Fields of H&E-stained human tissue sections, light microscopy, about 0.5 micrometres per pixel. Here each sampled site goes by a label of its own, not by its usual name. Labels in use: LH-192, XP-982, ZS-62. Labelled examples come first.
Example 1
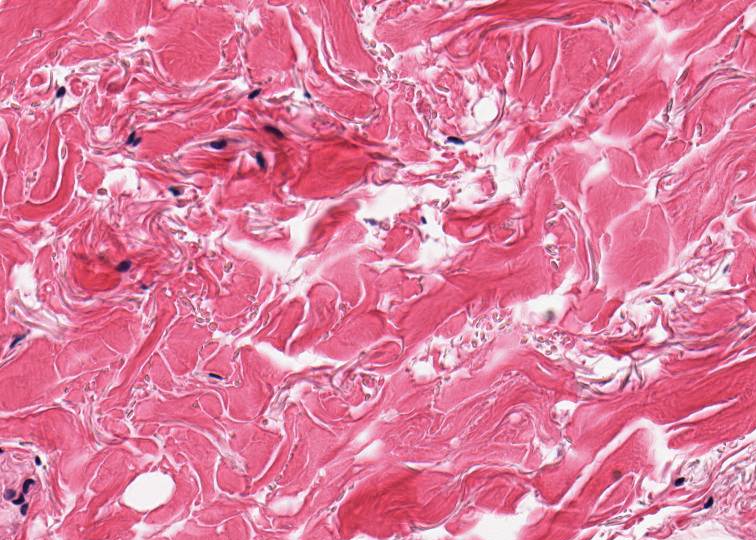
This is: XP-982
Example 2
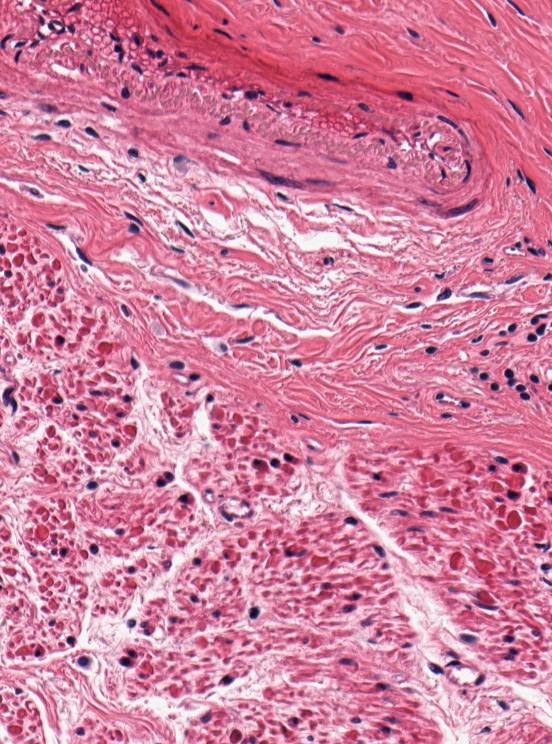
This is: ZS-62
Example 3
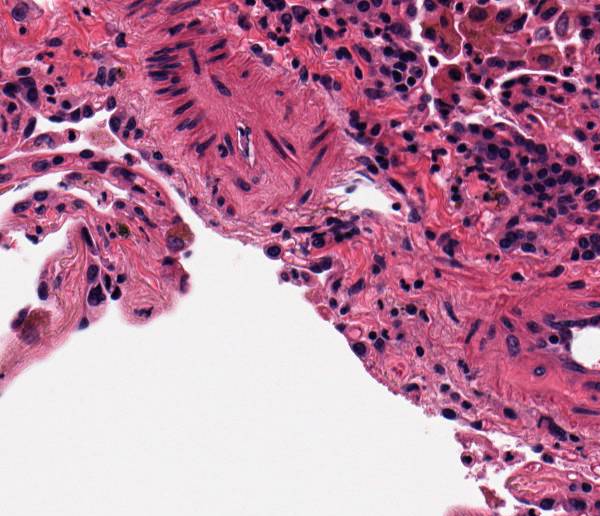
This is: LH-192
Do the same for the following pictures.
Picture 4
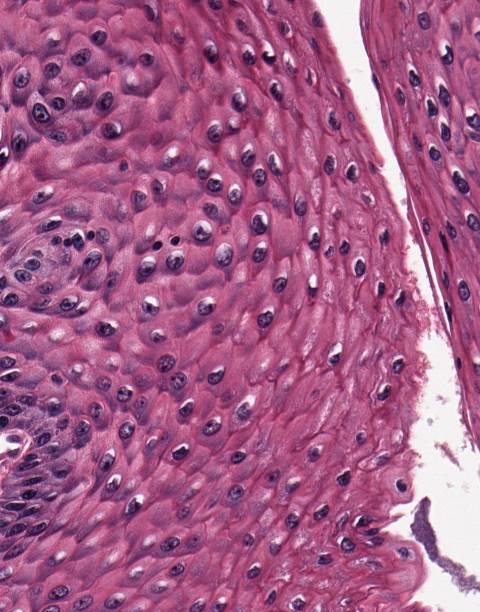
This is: ZS-62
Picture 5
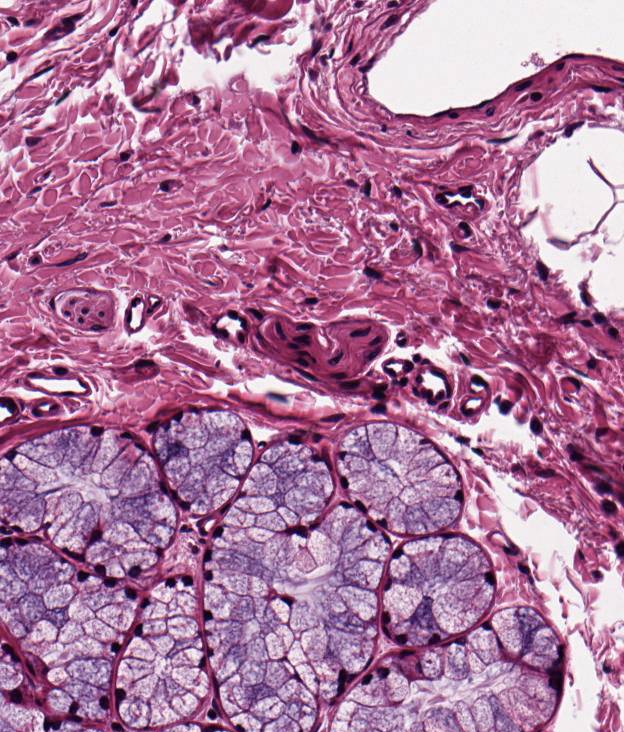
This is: ZS-62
